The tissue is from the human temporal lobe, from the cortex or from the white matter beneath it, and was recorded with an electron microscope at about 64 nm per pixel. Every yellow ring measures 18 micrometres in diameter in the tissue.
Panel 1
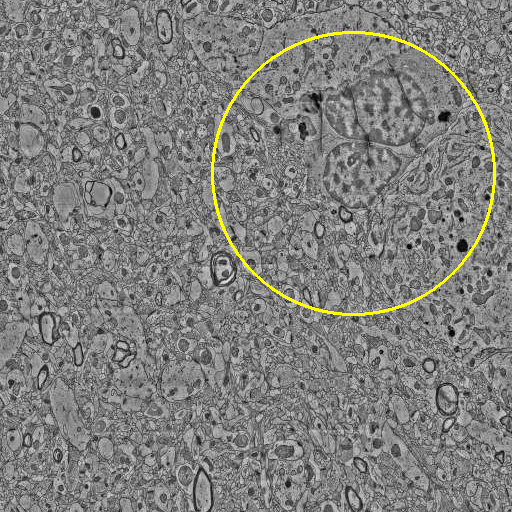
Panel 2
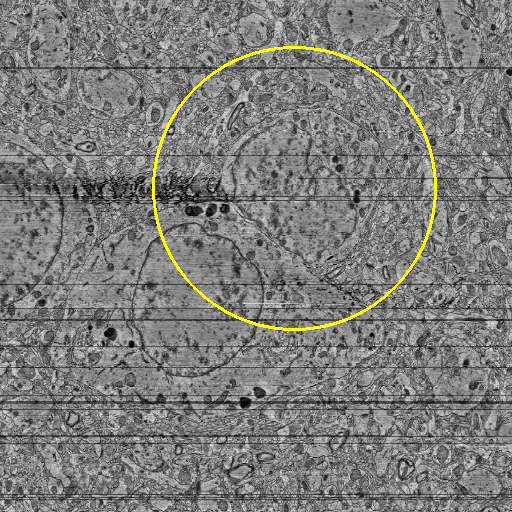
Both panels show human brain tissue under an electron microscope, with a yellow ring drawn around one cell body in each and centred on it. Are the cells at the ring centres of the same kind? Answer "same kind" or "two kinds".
two kinds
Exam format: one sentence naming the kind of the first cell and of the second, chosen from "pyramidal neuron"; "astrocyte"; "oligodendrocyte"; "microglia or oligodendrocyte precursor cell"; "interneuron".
The first picture's cell is an oligodendrocyte, and the second picture's cell is an interneuron.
